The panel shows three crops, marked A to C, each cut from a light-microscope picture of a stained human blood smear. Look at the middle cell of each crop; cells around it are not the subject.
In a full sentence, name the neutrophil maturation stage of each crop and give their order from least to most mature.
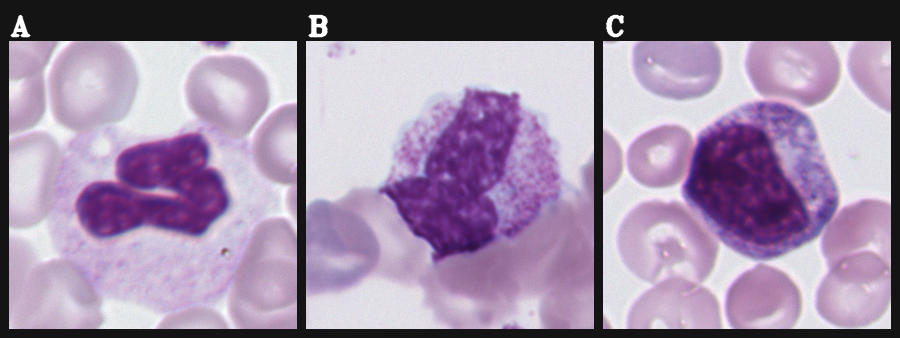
The maturation sequence, from earliest to latest, is crop C (a metamyelocyte), crop B (a band neutrophil) and crop A (a segmented neutrophil).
